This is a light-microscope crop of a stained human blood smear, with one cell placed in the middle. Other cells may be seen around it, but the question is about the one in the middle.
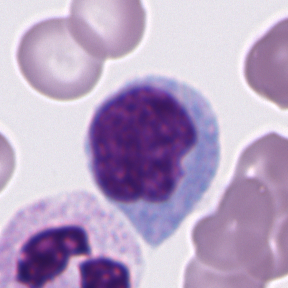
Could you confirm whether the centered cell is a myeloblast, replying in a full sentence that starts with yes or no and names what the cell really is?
No, instead of being a myeloblast, the middle cell is a monocyte.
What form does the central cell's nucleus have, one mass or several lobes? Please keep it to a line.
Key feature: a single compact nucleus, round, oval or kidney-shaped.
